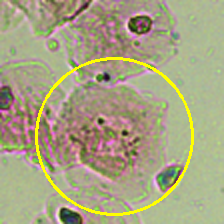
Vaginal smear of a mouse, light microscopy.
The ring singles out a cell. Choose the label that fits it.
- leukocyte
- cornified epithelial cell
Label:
cornified epithelial cell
